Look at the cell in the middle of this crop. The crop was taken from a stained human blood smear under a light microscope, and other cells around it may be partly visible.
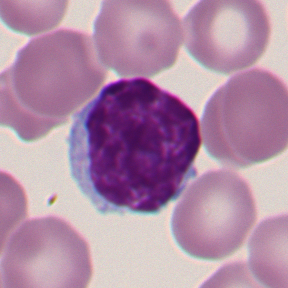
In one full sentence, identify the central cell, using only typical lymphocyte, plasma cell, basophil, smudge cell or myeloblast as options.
The cell marked by its central position in the crop is a typical lymphocyte.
